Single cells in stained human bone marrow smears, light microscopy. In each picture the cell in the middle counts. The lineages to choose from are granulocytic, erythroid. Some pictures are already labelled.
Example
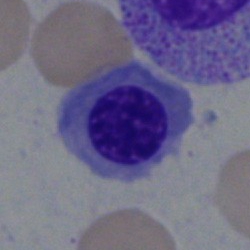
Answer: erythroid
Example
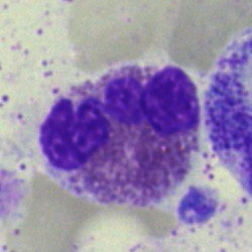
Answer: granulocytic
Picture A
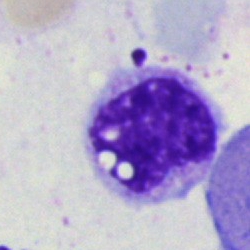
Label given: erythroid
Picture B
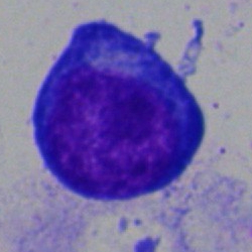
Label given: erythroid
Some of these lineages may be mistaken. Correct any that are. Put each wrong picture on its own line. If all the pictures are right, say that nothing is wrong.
A: not erythroid but granulocytic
